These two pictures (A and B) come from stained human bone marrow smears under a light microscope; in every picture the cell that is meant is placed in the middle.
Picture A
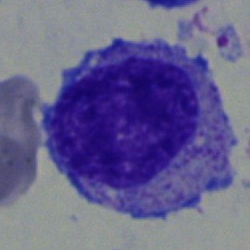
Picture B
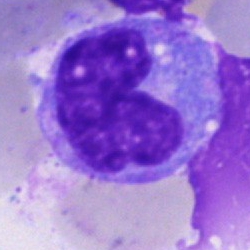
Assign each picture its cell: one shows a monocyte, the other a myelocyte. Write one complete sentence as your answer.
It is picture A that shows a myelocyte, and picture B that shows a monocyte.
